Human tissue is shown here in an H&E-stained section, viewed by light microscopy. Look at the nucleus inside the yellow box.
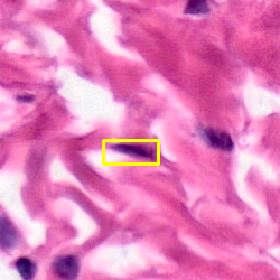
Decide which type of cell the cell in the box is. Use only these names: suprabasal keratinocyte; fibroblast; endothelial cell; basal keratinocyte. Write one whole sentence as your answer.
The expected answer is simply that the cell in the box is a fibroblast.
